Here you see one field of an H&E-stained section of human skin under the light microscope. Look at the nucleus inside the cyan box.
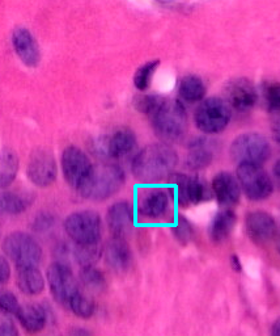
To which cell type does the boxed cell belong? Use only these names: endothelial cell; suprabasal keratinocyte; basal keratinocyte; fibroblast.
basal keratinocyte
